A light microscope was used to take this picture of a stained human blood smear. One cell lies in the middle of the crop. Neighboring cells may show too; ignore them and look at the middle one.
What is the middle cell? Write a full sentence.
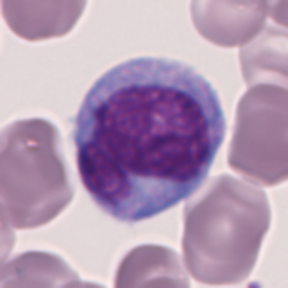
The cell in the middle of this crop is a monocyte.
